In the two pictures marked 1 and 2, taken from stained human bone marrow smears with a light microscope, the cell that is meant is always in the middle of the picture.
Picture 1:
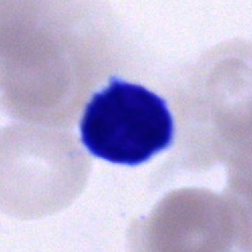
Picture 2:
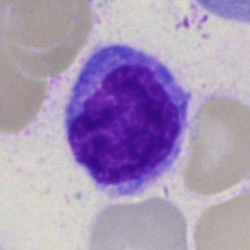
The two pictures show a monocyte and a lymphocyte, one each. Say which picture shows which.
1: lymphocyte
2: monocyte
